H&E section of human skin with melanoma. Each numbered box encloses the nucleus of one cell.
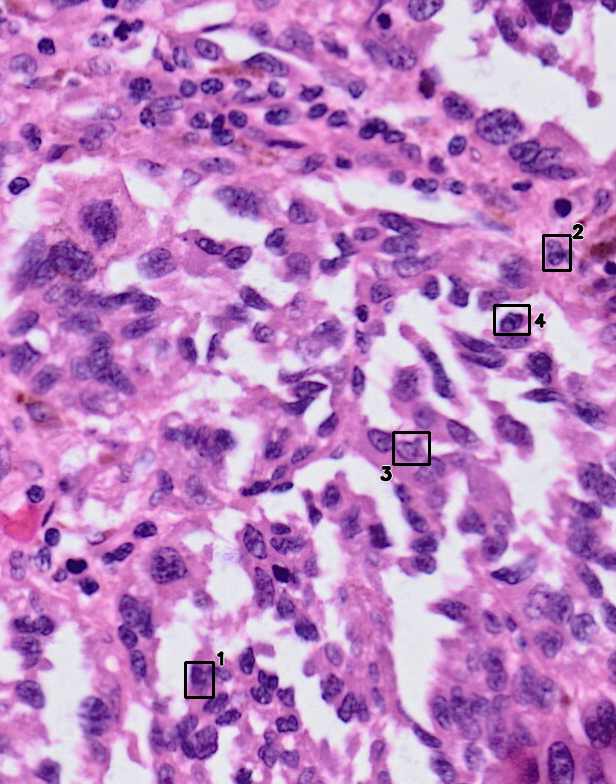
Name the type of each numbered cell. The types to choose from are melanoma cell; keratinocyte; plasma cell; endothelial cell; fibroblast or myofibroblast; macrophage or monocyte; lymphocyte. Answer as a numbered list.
1. melanoma cell
2. lymphocyte
3. melanoma cell
4. melanoma cell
